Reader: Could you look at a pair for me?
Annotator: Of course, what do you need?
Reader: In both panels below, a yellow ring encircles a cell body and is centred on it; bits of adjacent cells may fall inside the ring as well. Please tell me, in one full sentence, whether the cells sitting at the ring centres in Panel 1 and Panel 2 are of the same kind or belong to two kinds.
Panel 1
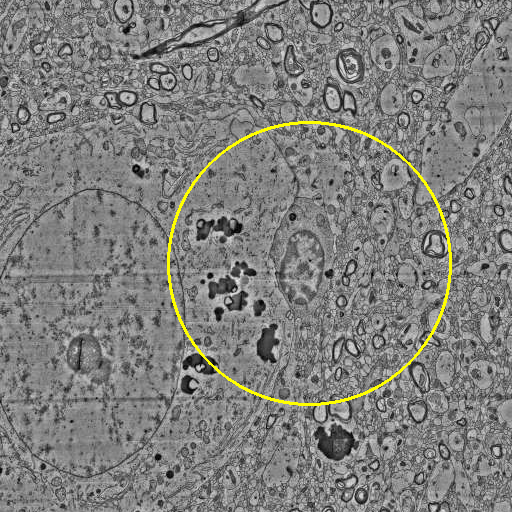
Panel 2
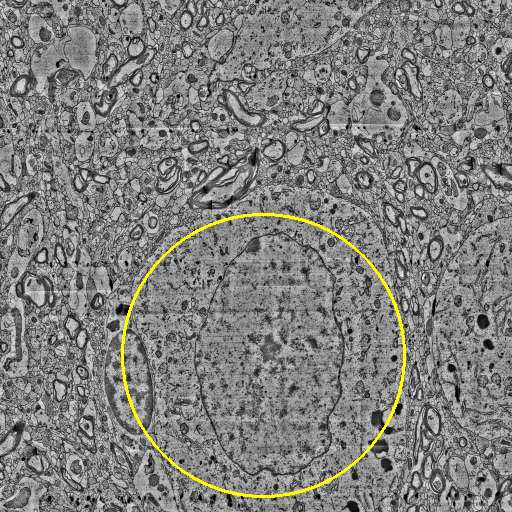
The cell at the ring's centre in Panel 1 and the one in Panel 2 belong to two kinds.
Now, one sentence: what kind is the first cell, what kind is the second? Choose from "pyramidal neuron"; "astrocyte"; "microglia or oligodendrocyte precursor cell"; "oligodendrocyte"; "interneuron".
The first picture has an oligodendrocyte at its ring centre, and the second has a pyramidal neuron.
